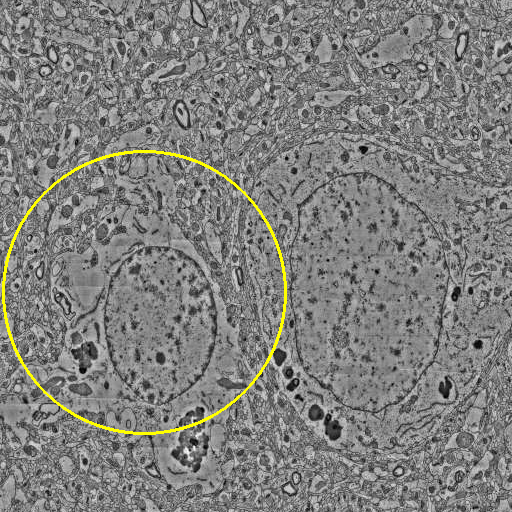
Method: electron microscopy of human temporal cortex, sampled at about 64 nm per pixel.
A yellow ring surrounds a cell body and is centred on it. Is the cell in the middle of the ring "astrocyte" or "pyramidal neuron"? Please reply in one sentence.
The ring is centred on an astrocyte.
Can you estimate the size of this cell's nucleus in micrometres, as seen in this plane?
In this plane the nucleus spans approximately 10 by 7 micrometers.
